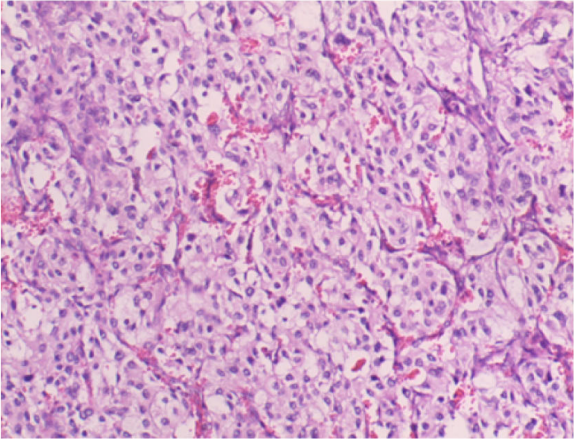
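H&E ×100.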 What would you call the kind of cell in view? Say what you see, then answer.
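Polygonal cells with pale to lightly eosinophilic cytoplasm fill the nests. Round to oval nuclei, fairly uniform. So: chief cells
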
